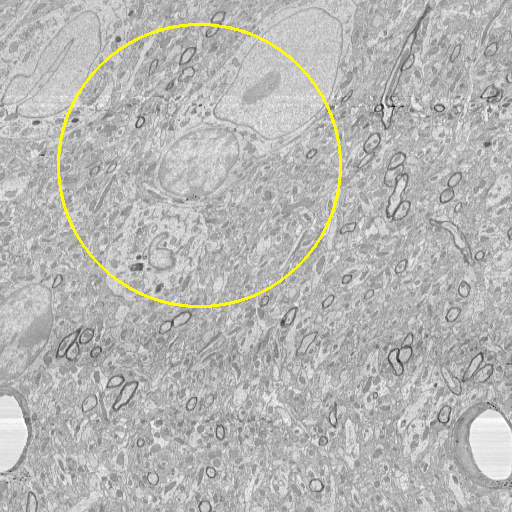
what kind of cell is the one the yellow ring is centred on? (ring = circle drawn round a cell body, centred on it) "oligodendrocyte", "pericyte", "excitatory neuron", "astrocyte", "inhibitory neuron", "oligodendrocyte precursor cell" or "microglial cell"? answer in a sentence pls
The ring is drawn around an oligodendrocyte.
